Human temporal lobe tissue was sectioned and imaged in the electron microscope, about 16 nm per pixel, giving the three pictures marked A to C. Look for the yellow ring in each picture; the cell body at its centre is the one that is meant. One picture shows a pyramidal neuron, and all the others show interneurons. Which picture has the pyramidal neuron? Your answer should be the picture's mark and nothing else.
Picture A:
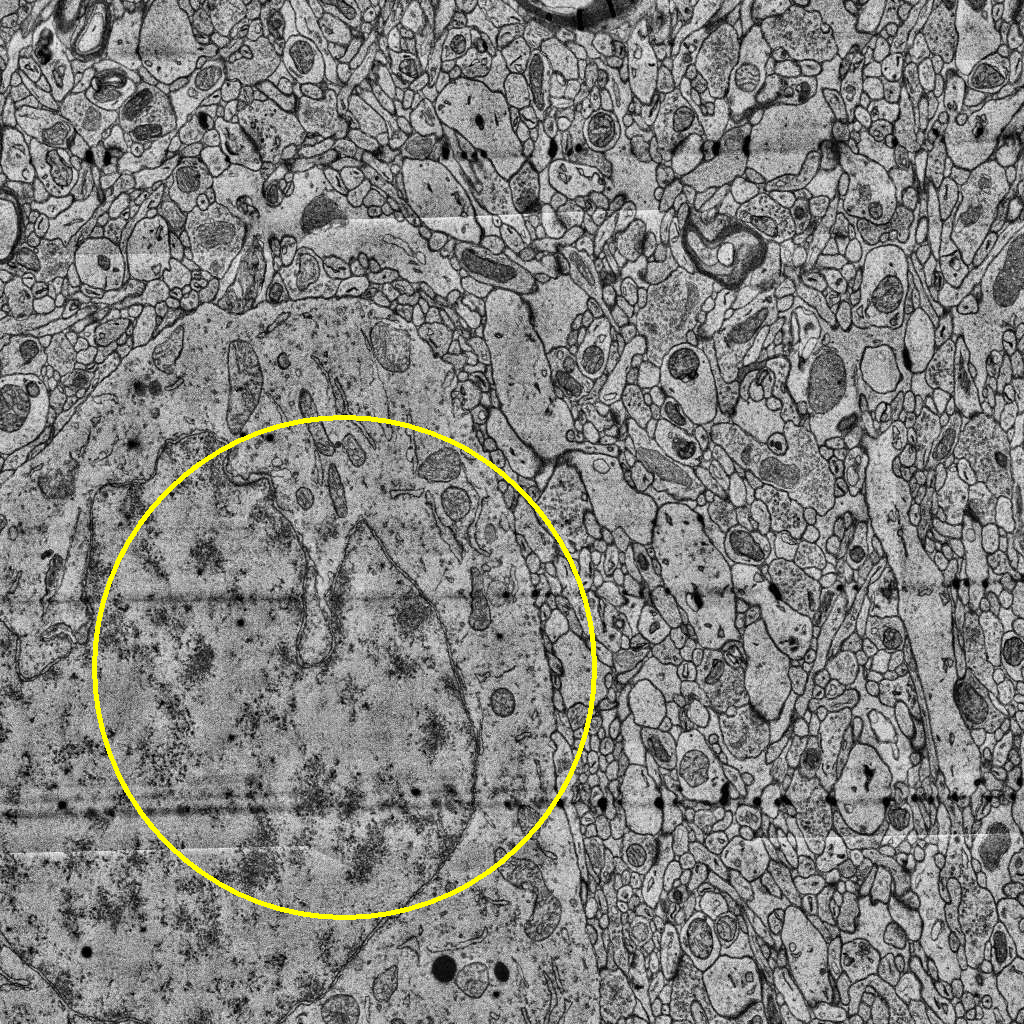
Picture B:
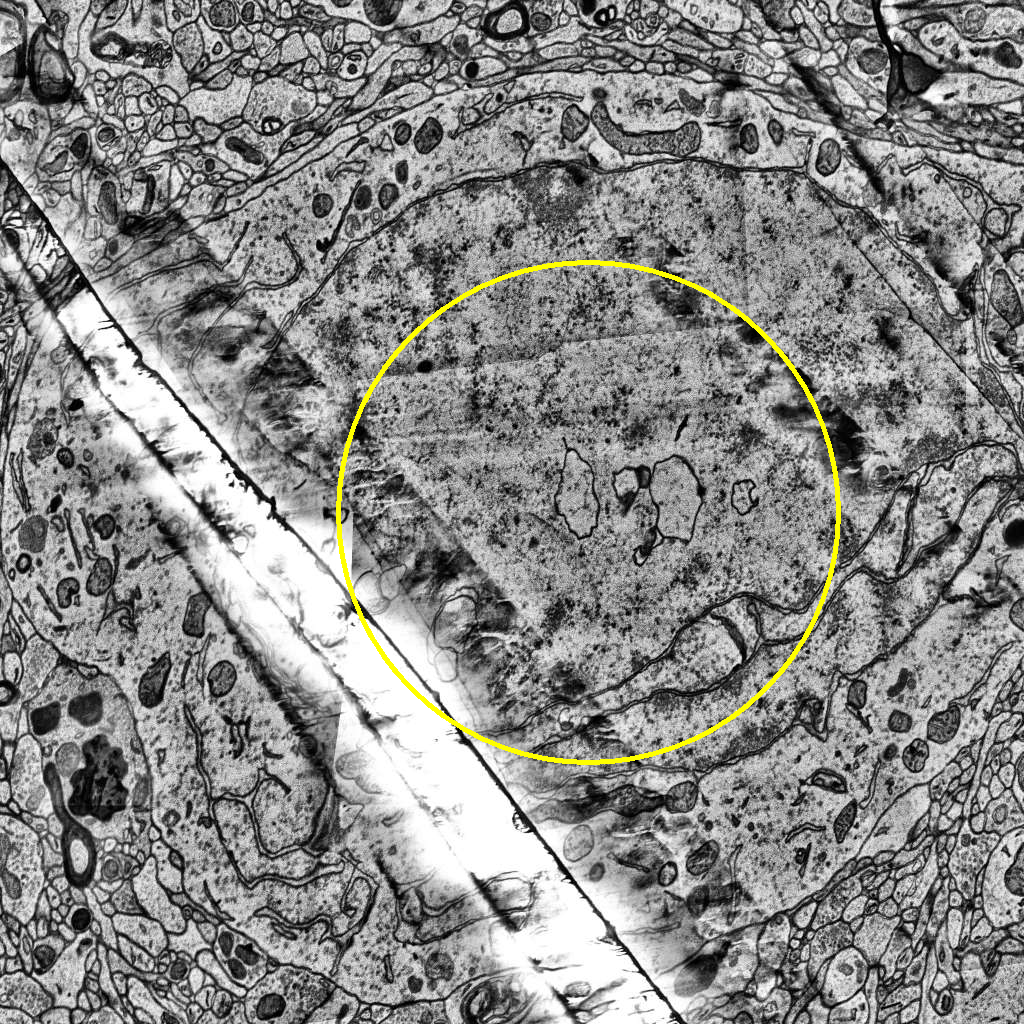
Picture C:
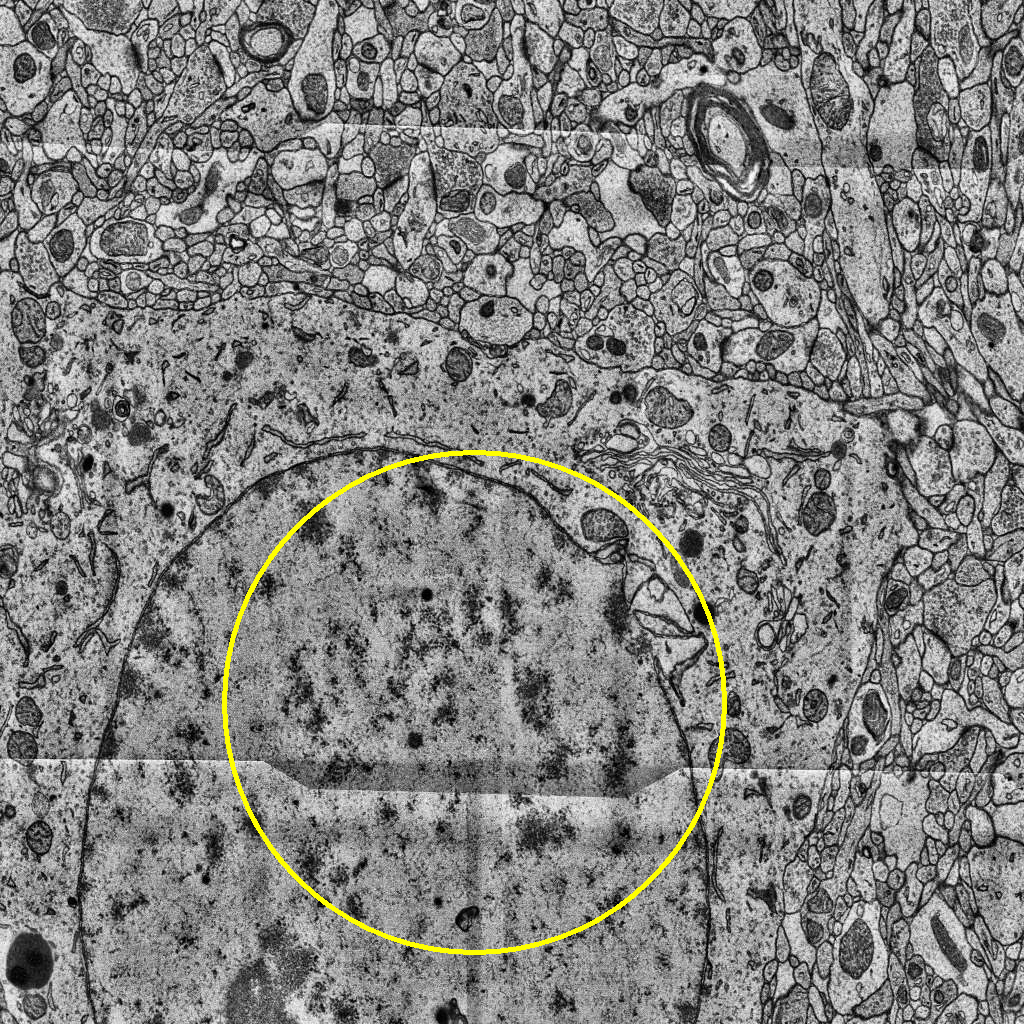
C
